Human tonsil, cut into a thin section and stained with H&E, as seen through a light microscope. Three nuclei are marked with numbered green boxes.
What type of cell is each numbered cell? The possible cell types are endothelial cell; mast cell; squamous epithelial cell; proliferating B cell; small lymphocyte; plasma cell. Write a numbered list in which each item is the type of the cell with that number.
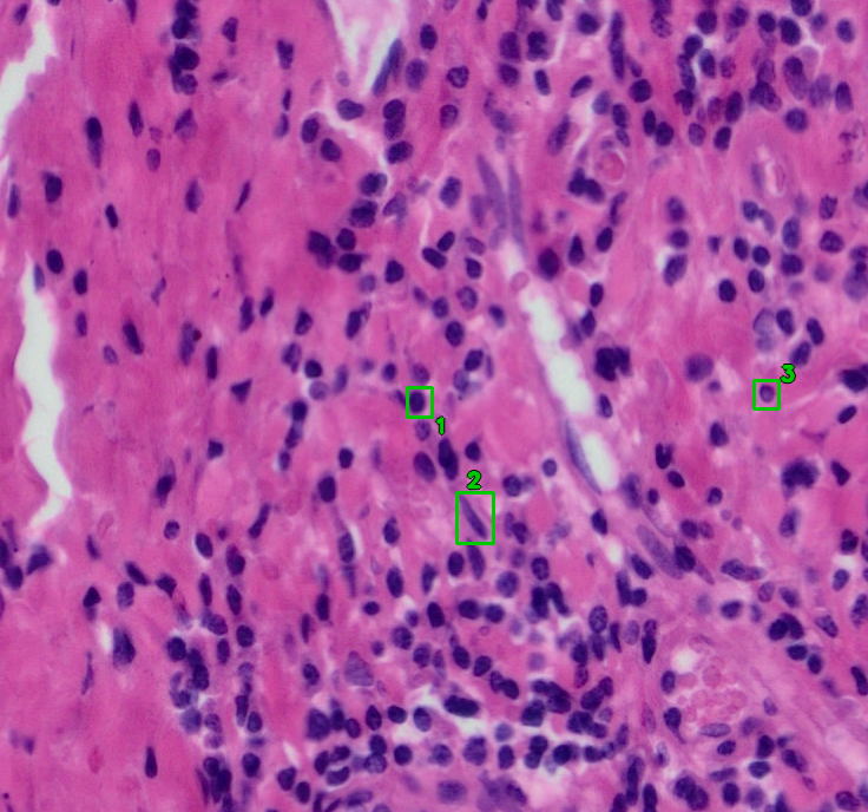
1. mast cell
2. endothelial cell
3. mast cell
